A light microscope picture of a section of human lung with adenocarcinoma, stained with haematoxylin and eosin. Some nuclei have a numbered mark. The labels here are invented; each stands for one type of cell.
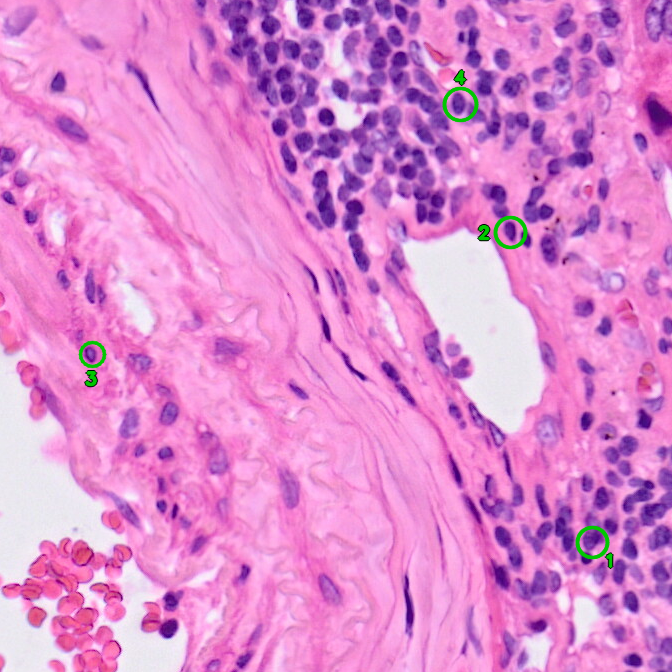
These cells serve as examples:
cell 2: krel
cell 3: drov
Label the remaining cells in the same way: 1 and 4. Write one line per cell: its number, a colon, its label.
1: krel
4: krel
